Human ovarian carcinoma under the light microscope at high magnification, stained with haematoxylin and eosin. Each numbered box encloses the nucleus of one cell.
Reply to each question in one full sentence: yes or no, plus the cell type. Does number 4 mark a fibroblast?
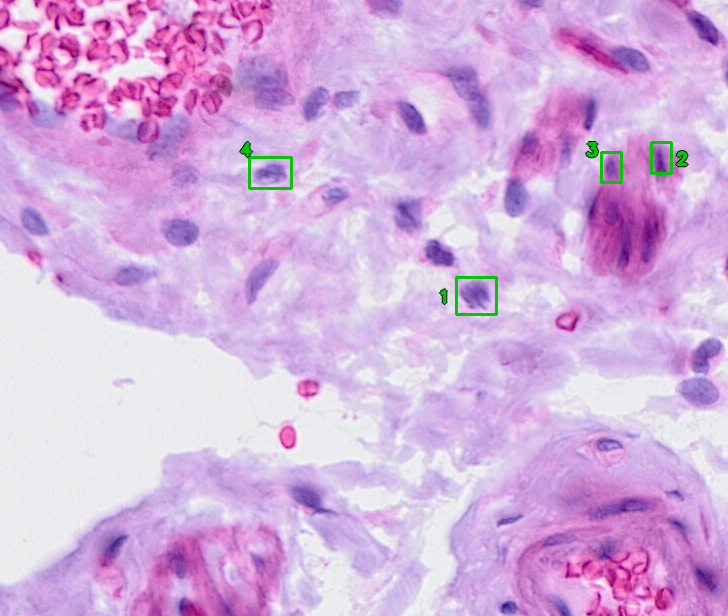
Yes, the cell whose nucleus carries number 4 is a fibroblast.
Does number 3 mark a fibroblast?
No, cell 3 is a smooth muscle cell and should not be called a fibroblast.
